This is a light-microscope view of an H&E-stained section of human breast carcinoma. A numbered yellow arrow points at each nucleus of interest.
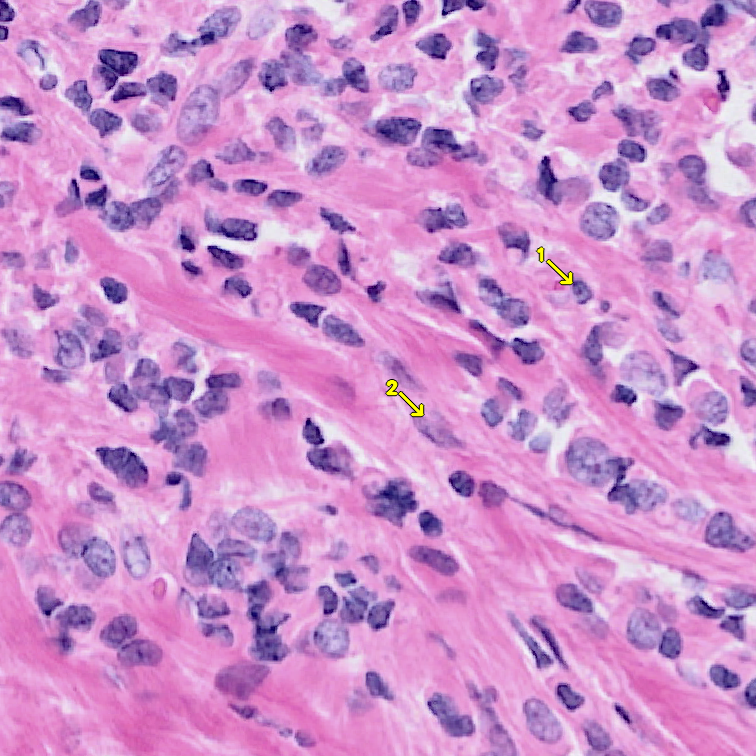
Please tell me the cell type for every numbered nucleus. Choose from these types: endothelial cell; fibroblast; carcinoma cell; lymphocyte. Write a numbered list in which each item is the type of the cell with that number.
1. endothelial cell
2. fibroblast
